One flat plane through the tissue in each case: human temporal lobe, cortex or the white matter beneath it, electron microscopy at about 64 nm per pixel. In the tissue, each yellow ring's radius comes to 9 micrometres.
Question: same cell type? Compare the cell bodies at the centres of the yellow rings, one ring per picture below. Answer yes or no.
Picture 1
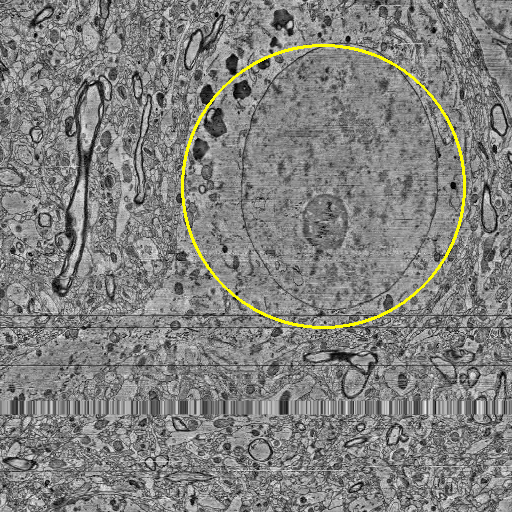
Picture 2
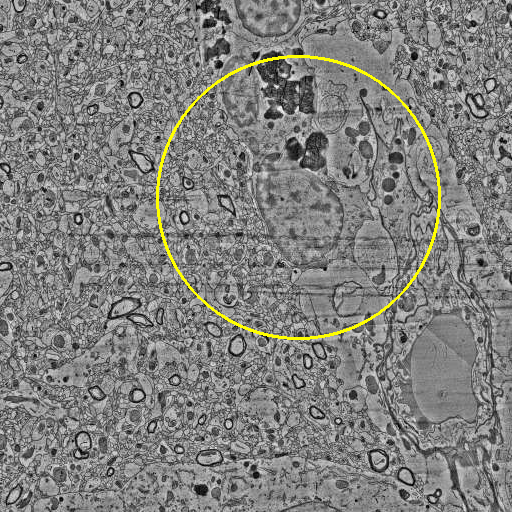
no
